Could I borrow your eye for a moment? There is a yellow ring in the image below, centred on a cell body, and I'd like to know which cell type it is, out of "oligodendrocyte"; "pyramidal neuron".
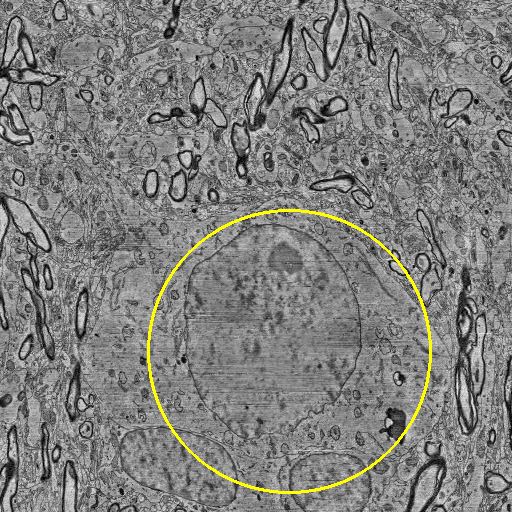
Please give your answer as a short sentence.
The cell body at the centre is that of a pyramidal neuron.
